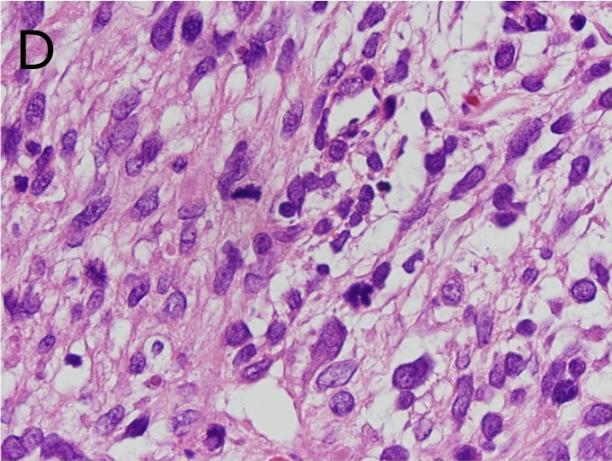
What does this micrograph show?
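This high-power view of a tumor shows spindle cells with enlarged, oval to elongated nuclei lying in a loose, pale pink fibrillary stroma. The nuclei vary in size and shape, some are hyperchromatic, and several have visible nucleoli. Near the centre one cell is in mitosis, its chromatin condensed into a dark irregular clump. Clear spaces separate many of the cells, giving the tissue a loose, somewhat vacuolated look.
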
